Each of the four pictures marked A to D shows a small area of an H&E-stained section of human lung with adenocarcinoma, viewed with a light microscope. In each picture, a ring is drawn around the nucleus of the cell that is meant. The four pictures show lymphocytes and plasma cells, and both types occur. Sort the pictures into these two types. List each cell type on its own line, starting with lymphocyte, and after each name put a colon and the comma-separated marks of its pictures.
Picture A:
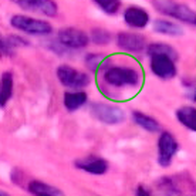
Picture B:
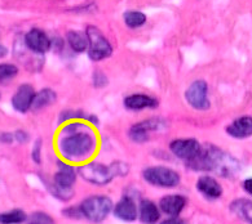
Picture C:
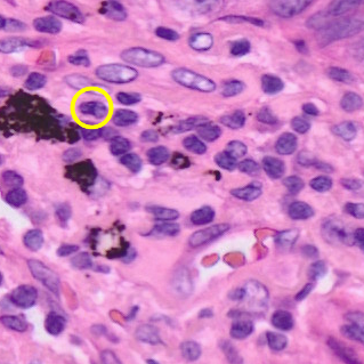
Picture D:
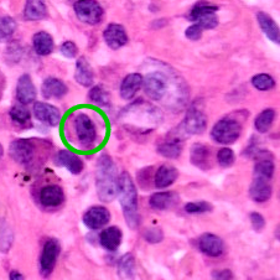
lymphocyte: B, C
plasma cell: A, D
